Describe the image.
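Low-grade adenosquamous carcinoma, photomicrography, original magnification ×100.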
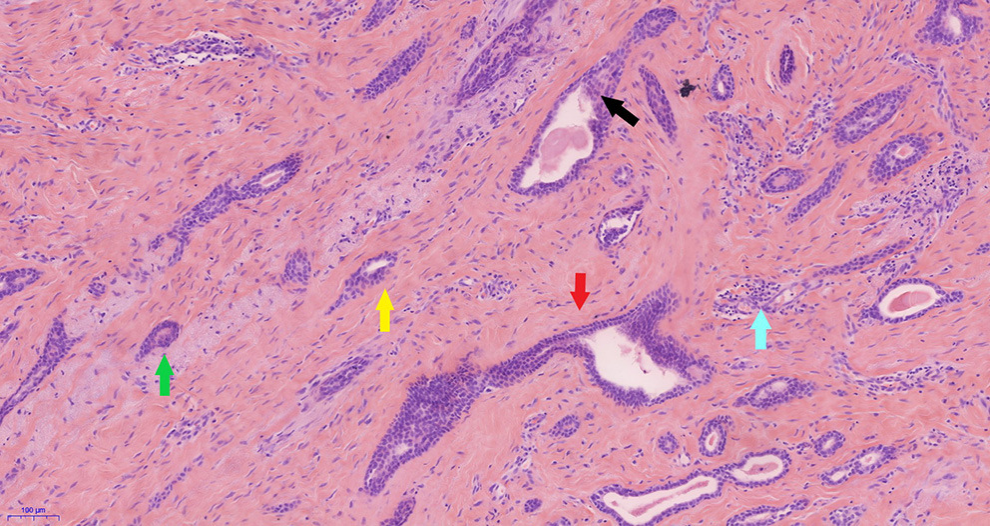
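This is a tumour of scattered small glandular ducts and nests of squamous cells set in a dense, pink, sclerosing stroma of spindle cells. The glands are elongated and irregular, some angulated, some curved or with a rounded head and tapering tail, each lined by dark, closely packed epithelial nuclei around a small lumen. Thicker bands of squamous epithelium form some cystic spaces filled with pale pink keratin-like material. The glands lie haphazardly in an infiltrative pattern, and small clusters of dark, round lymphocytes lie in the stroma beside them.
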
